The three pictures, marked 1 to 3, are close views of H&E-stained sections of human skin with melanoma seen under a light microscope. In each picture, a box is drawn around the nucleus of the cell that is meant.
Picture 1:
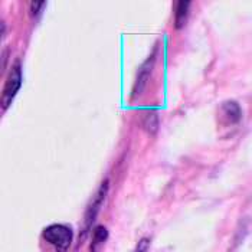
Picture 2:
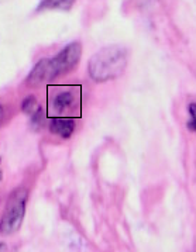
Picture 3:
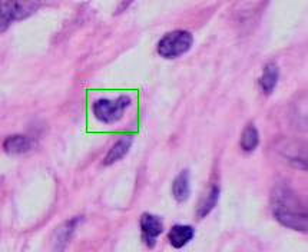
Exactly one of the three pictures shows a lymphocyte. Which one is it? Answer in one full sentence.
The lymphocyte is the one in picture 3.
